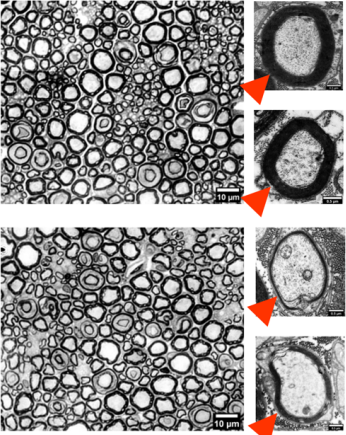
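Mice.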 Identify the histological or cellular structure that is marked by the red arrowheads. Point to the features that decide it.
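Myelin. Each pale round axon is surrounded by a dense dark ring.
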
